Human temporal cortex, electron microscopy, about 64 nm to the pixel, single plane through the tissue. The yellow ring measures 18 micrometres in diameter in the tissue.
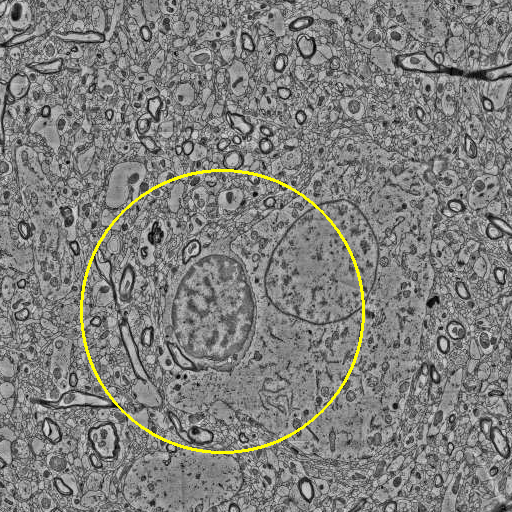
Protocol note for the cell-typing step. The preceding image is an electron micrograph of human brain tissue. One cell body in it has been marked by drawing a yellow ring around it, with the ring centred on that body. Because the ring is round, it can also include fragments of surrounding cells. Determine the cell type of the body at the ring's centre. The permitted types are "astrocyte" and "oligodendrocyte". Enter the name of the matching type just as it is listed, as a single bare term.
oligodendrocyte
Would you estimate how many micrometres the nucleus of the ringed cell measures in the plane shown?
The nucleus of the ringed cell is approximately 7 by 5 micrometres in this plane.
